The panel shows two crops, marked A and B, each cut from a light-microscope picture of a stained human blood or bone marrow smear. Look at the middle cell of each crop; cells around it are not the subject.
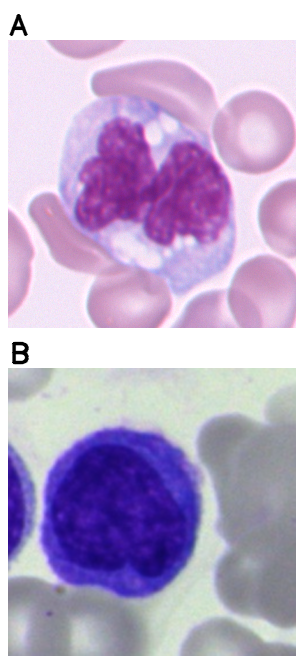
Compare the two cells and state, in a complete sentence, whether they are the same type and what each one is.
Yes, both crops show monocytes, and the two match.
